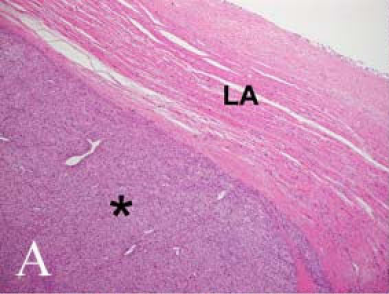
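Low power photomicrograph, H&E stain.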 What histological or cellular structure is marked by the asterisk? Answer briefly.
tumor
